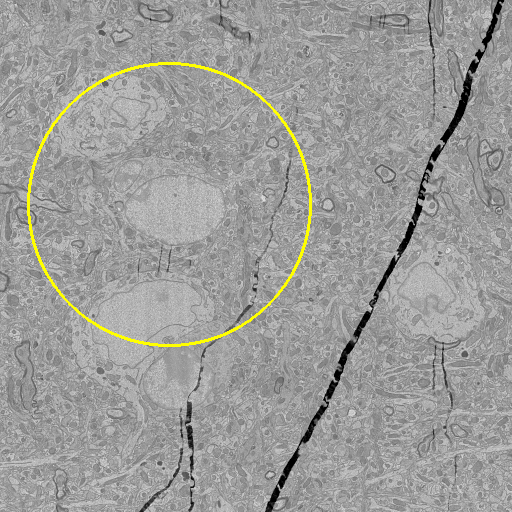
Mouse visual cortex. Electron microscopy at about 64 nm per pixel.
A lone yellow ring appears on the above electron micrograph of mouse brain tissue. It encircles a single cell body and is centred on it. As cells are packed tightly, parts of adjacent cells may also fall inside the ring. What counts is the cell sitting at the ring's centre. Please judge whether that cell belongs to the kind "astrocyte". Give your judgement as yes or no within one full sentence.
Yes, the cell lying at the centre of the ring in the picture belongs to this kind.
